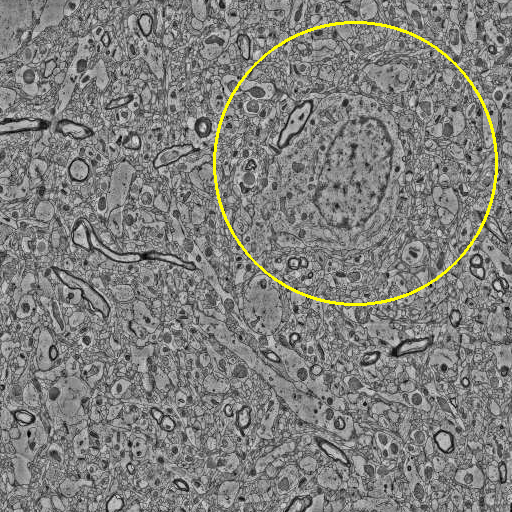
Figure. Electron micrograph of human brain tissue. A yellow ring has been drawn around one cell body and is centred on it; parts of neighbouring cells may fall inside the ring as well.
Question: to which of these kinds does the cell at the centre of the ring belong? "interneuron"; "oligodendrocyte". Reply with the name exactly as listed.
interneuron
